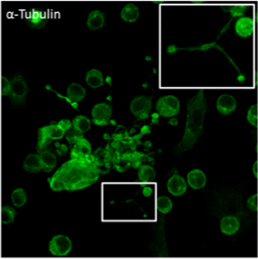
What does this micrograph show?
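The round cells show green staining brightest at their rims. The large cell has a mottled, fibrous green cytoplasm. Long thin green shafts with small swellings and bulbous ends branch away from cells, enlarged in the inset.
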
